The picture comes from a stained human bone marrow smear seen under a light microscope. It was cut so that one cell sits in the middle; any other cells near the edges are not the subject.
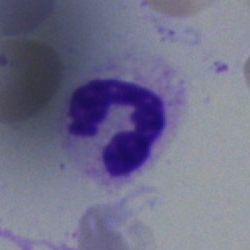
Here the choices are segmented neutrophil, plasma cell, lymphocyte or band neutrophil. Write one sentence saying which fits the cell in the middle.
For this crop, the cell in the middle is a segmented neutrophil.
